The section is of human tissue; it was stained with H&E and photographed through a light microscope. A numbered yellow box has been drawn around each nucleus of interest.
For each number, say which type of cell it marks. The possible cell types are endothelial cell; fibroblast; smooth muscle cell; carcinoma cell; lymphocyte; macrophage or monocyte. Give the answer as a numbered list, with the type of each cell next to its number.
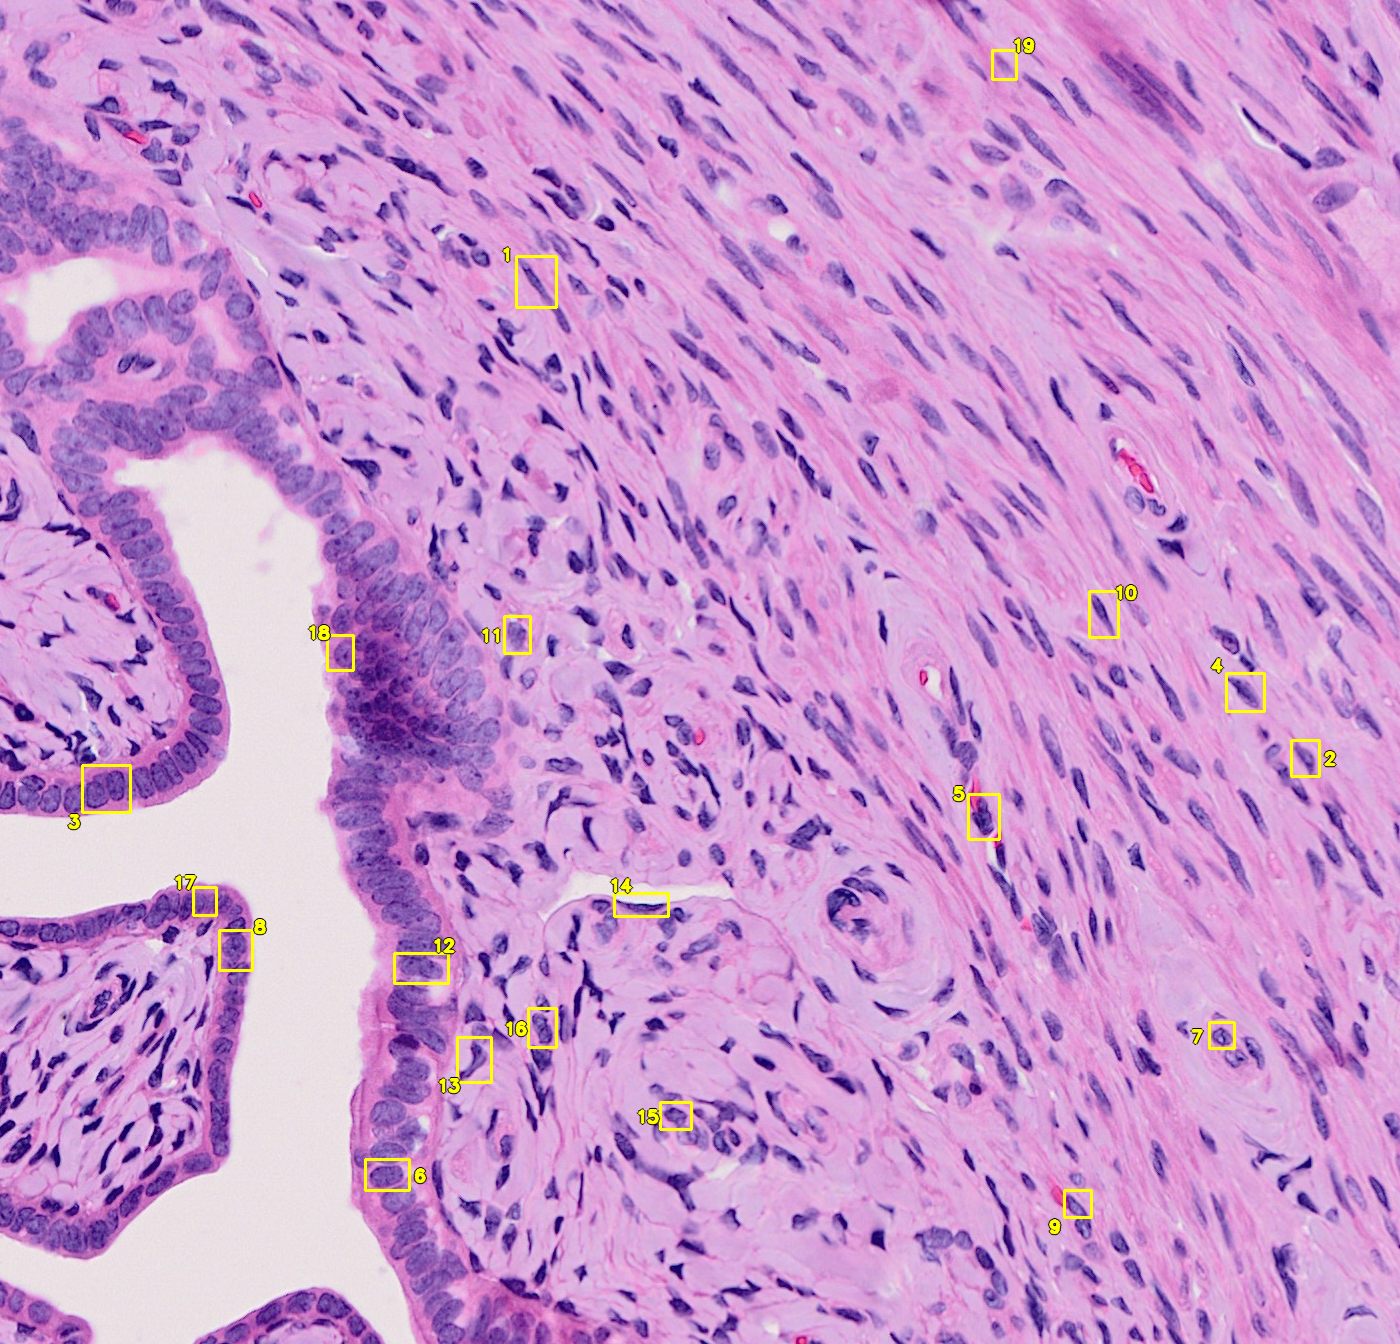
1. smooth muscle cell
2. smooth muscle cell
3. carcinoma cell
4. fibroblast
5. endothelial cell
6. carcinoma cell
7. endothelial cell
8. carcinoma cell
9. endothelial cell
10. smooth muscle cell
11. endothelial cell
12. carcinoma cell
13. fibroblast
14. endothelial cell
15. endothelial cell
16. endothelial cell
17. carcinoma cell
18. carcinoma cell
19. smooth muscle cell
